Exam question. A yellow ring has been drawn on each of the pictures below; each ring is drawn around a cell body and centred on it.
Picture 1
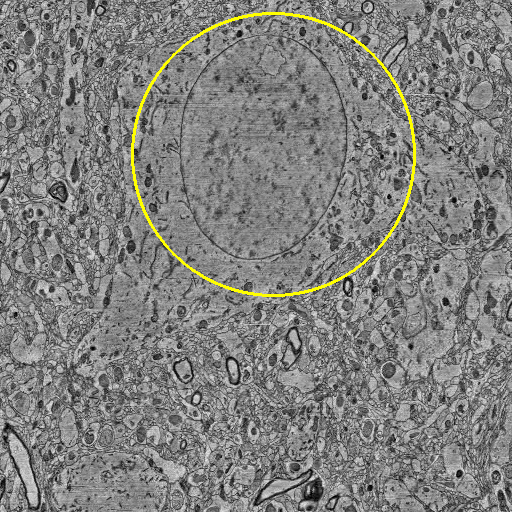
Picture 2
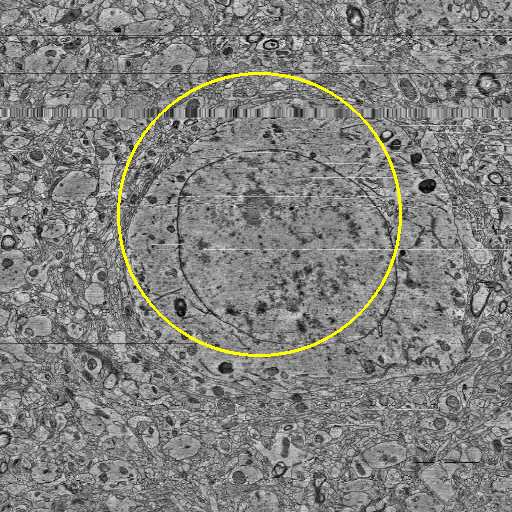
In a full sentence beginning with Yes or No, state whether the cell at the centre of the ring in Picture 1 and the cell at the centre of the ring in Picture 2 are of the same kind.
Yes, the two cells are of the same kind.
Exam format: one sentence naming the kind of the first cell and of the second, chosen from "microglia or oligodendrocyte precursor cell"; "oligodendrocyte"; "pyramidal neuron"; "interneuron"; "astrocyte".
The cell in the first picture is a pyramidal neuron, and so is the one in the second.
